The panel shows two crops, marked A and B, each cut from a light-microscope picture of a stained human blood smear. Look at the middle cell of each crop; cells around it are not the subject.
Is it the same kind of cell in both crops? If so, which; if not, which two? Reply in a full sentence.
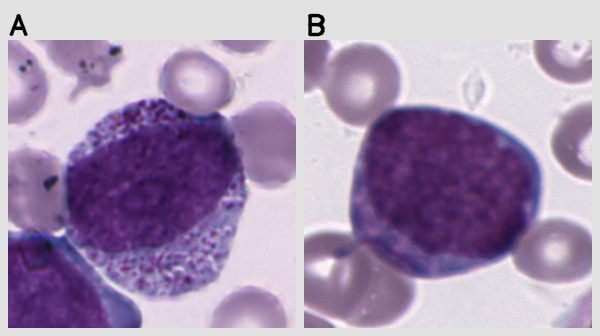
Yes, that is right, both crops show promyelocytes.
